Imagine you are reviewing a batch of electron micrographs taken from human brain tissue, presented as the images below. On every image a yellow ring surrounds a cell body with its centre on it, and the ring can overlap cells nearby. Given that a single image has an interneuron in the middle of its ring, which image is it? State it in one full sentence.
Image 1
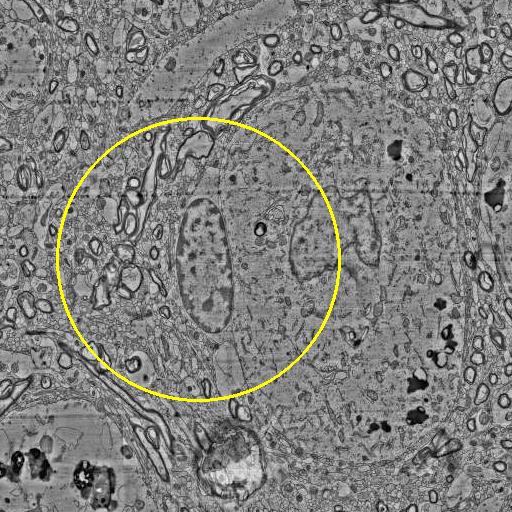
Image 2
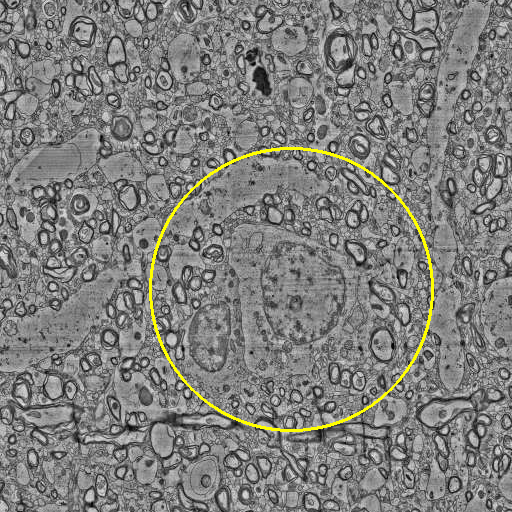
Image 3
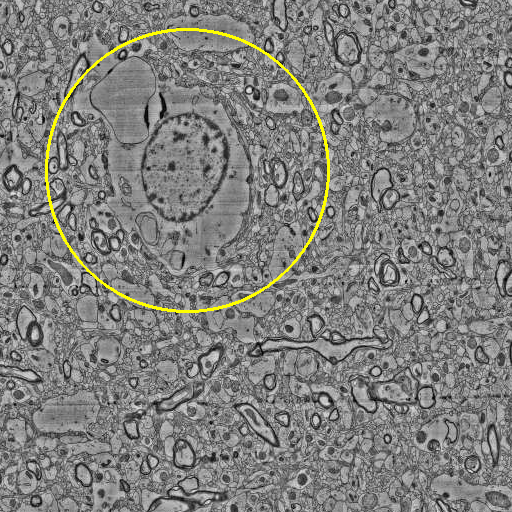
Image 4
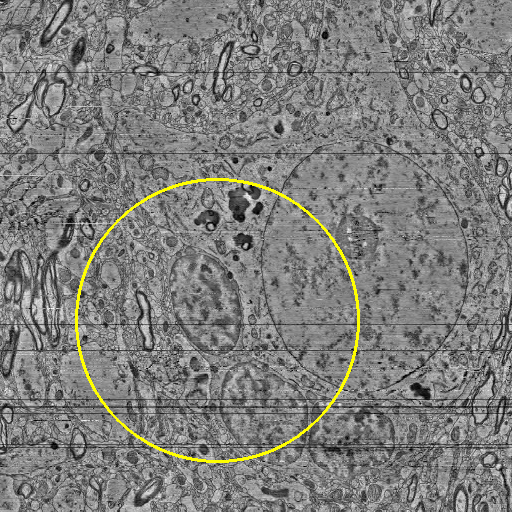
Of all the images, number 2 has the described cell at the centre of its ring.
